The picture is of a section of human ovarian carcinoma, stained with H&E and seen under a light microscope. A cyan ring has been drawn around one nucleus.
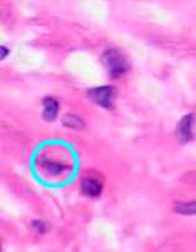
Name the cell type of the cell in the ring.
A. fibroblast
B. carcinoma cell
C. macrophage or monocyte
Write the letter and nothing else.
A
